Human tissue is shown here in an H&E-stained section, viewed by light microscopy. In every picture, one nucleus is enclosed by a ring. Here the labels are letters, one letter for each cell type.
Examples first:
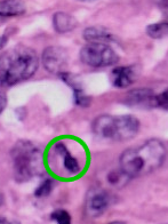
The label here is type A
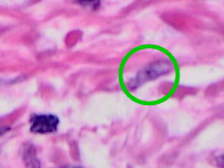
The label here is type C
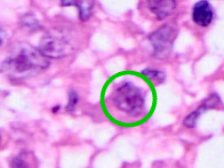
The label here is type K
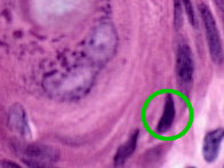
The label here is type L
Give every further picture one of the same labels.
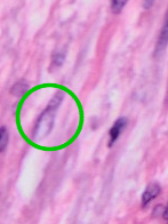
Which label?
type C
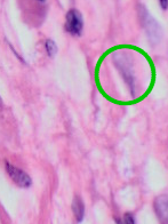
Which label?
type C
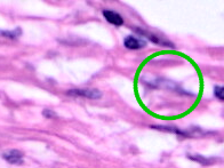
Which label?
type C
